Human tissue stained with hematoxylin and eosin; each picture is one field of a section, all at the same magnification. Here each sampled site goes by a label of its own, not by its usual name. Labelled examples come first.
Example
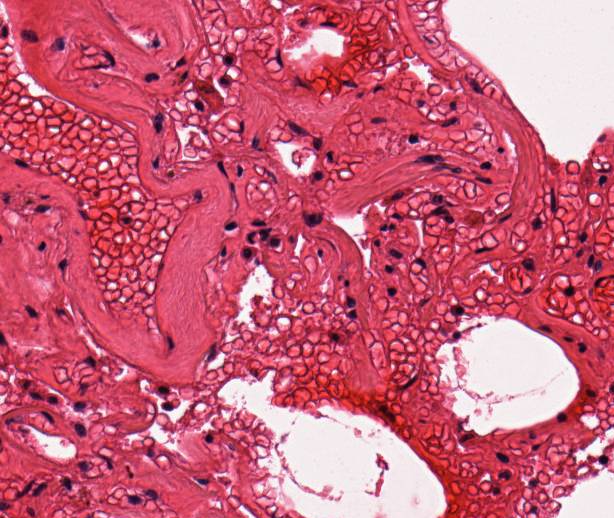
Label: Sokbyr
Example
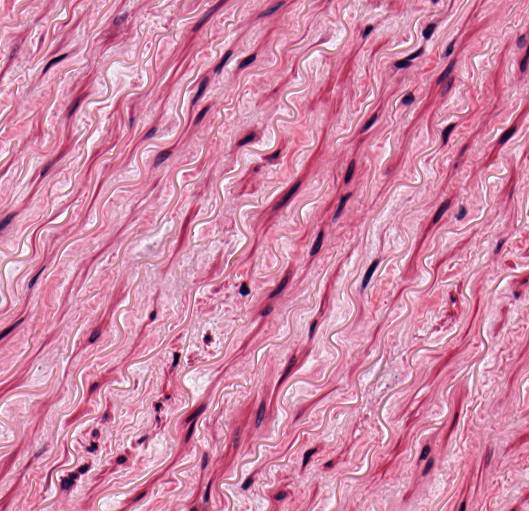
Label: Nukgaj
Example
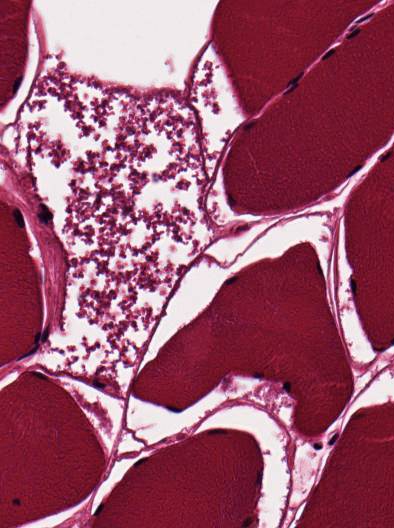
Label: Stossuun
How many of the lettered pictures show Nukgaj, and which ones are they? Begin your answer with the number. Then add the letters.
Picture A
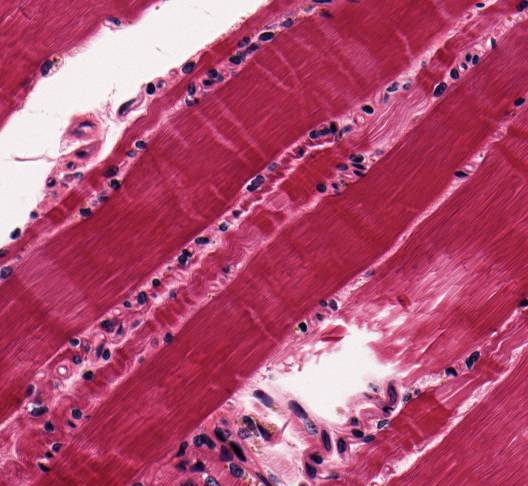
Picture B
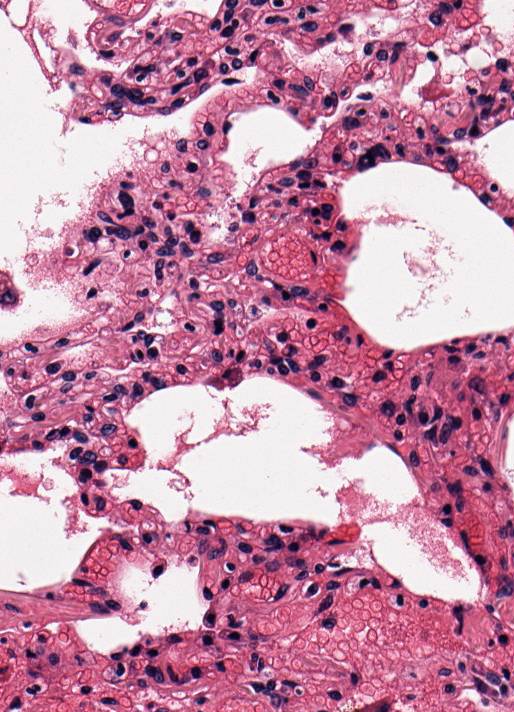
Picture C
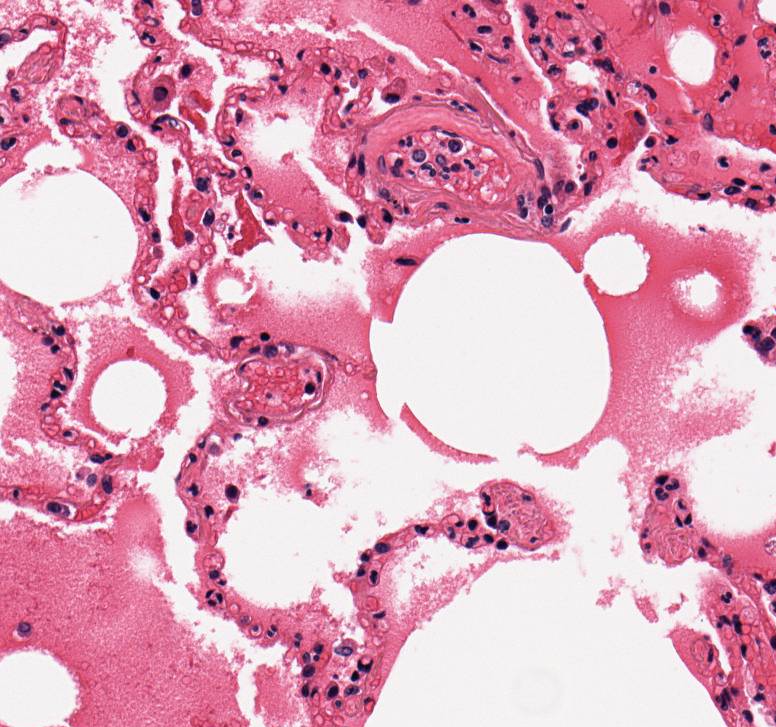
0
